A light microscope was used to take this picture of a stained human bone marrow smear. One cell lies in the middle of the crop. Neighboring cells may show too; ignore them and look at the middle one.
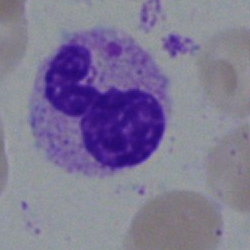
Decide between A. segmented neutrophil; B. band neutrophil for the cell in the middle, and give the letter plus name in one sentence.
The cell in the middle is correctly identified as a segmented neutrophil in option A.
